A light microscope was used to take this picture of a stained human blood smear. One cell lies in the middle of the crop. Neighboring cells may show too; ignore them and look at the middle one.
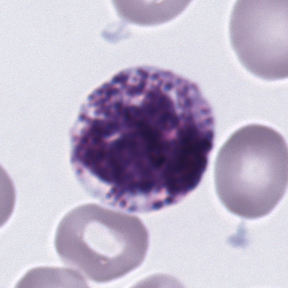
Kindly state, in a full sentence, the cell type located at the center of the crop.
Centred in the crop is a basophil.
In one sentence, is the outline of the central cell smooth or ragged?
No surface projections are present; the cell outline is smooth.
